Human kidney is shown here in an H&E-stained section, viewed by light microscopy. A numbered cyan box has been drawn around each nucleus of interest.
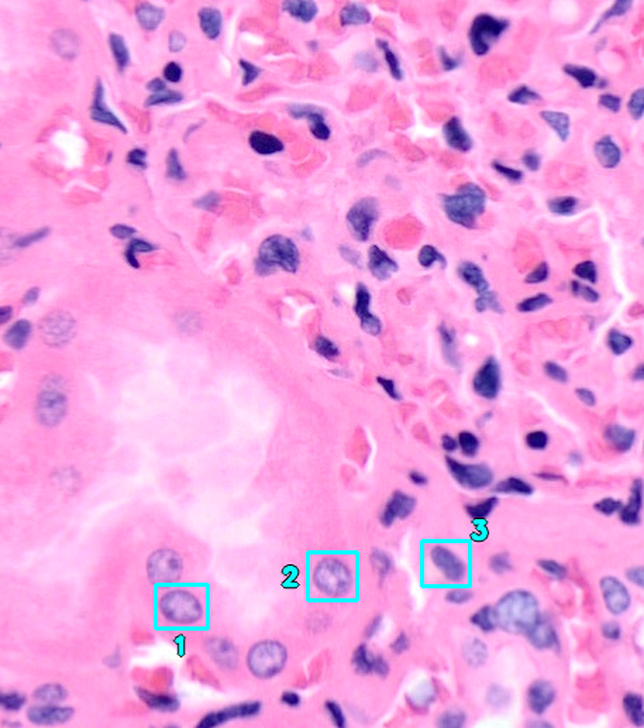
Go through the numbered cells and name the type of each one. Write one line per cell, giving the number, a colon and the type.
1: proximal tubule cell
2: proximal tubule cell
3: collecting duct cell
